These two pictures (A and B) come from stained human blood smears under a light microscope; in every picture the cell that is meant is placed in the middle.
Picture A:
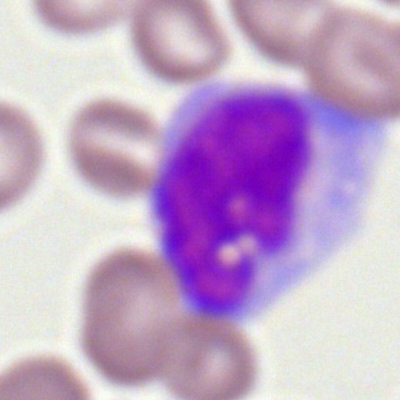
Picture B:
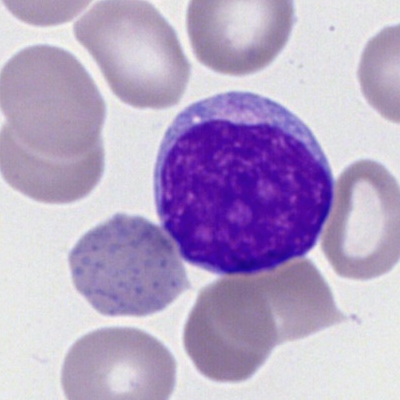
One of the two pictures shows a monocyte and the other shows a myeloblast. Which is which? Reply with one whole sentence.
It is picture A that shows a monocyte, and picture B that shows a myeloblast.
